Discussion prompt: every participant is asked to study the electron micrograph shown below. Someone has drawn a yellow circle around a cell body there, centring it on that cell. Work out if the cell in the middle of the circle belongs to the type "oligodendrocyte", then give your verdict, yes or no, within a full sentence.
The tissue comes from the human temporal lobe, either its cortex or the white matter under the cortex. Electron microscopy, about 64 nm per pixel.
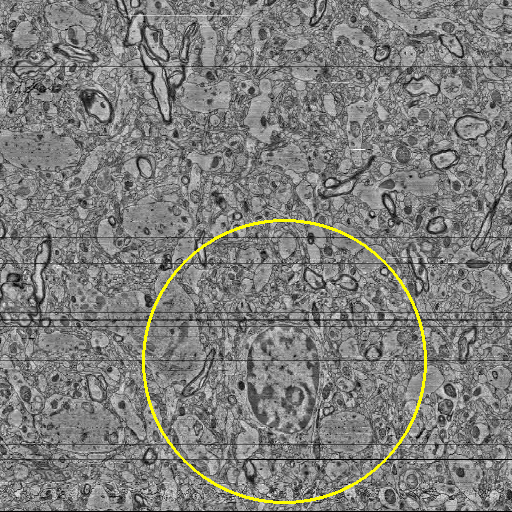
No, my verdict is that the cell in the circle's centre is of a different type.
